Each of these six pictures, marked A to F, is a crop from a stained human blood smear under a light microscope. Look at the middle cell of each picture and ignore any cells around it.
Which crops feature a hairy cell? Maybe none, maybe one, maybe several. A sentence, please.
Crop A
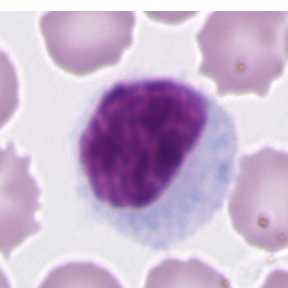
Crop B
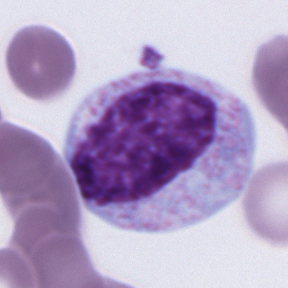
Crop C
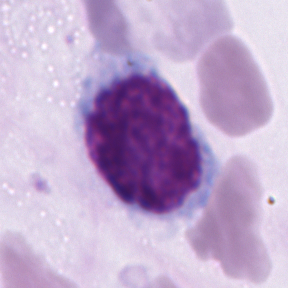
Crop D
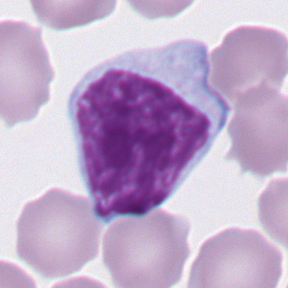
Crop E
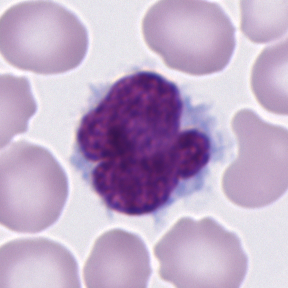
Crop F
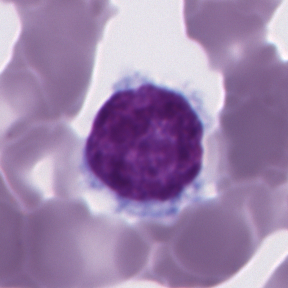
Crops A, C, E and F are identified as showing hairy cells.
